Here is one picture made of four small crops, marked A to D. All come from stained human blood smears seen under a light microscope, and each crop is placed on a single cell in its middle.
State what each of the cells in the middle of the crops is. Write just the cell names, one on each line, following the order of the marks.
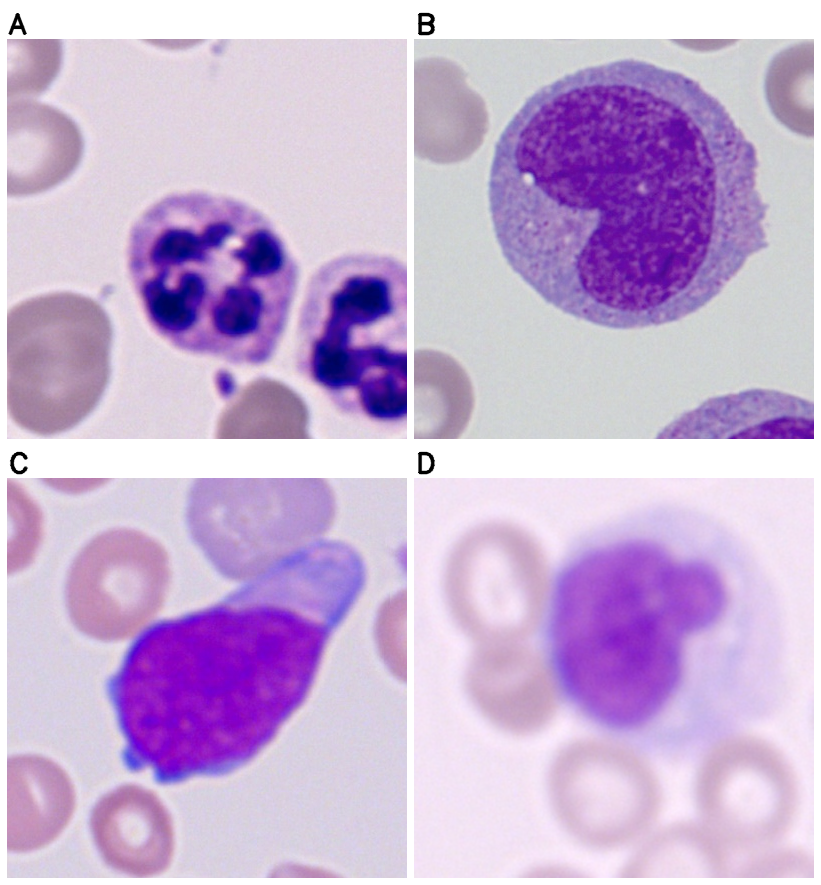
segmented neutrophil
myeloblast
myeloblast
monocyte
